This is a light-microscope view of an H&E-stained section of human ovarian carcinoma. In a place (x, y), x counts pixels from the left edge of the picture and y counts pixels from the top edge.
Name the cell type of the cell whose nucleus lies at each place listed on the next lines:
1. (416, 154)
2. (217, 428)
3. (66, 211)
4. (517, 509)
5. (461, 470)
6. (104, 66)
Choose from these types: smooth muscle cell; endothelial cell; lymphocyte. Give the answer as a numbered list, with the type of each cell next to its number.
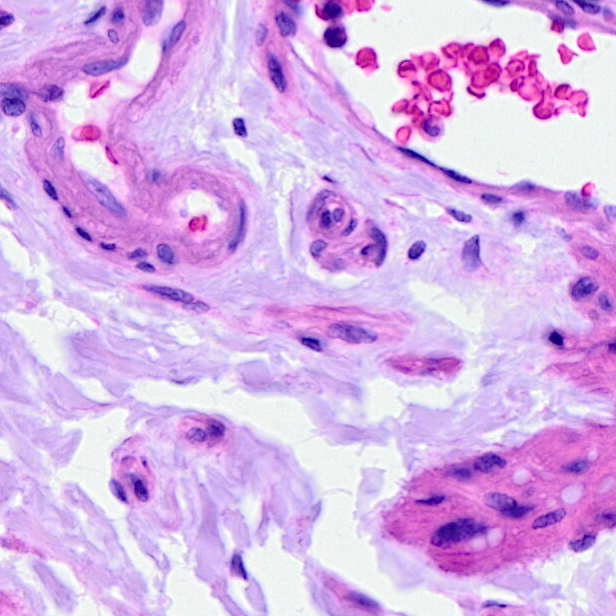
1. endothelial cell
2. endothelial cell
3. smooth muscle cell
4. smooth muscle cell
5. smooth muscle cell
6. endothelial cell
